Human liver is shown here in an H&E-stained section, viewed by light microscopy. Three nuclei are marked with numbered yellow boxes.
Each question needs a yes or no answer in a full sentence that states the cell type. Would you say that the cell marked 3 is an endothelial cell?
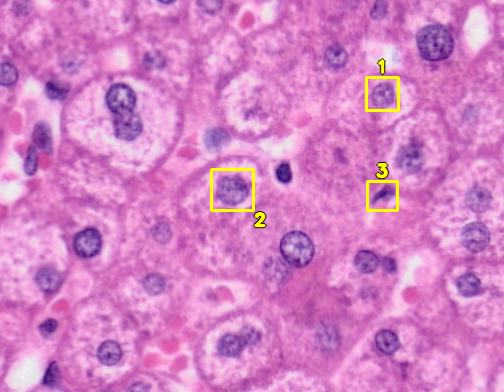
Yes, the nucleus numbered 3 belongs to an endothelial cell.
